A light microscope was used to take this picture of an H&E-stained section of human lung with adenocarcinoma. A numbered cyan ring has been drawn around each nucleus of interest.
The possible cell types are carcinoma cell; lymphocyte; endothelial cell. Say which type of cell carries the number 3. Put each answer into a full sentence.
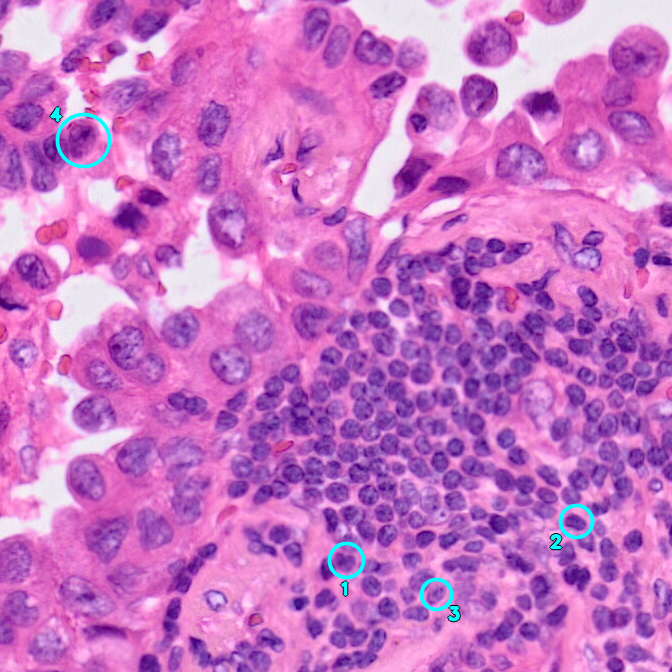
The cell that is numbered 3 is a lymphocyte.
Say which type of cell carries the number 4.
The cell whose nucleus carries the number 4 is a carcinoma cell.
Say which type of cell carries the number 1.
The numeral 1 marks a lymphocyte in this section.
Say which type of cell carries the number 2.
The cell whose nucleus carries the number 2 is a lymphocyte.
